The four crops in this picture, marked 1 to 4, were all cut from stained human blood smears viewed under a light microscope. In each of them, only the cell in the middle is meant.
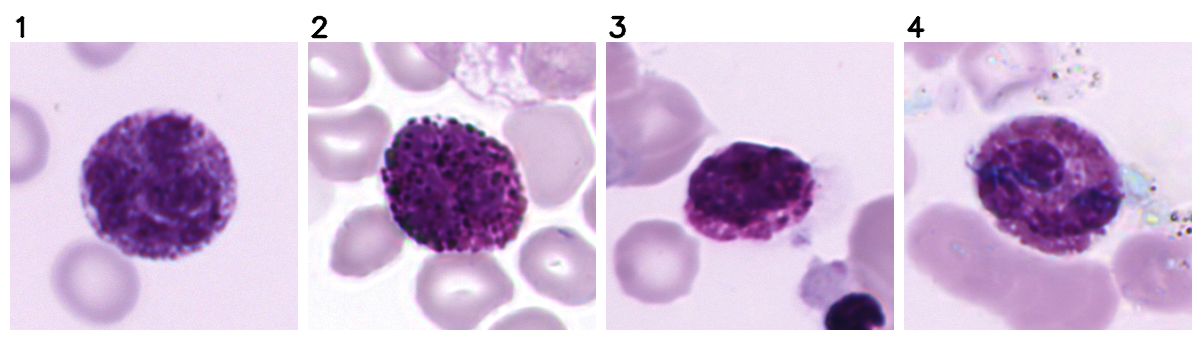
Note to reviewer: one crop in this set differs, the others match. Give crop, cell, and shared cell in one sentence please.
Of all the crops, only crop 4 shows an eosinophil; the others show basophils.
